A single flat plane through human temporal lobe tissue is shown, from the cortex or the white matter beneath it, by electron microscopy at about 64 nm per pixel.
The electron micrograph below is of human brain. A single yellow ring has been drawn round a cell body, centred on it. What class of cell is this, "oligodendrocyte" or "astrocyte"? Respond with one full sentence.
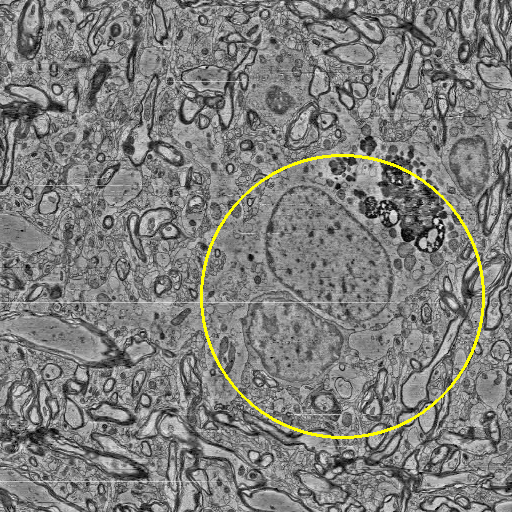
In the micrograph, the cell centred inside the yellow ring is an astrocyte.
